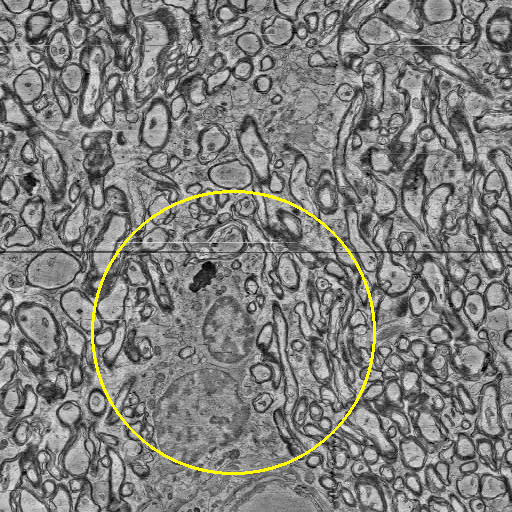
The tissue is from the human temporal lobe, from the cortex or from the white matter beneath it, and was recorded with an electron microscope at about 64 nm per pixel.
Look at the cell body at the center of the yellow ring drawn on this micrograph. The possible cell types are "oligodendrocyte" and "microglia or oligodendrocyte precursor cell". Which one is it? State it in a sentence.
The cell in the middle of the ring is an oligodendrocyte.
